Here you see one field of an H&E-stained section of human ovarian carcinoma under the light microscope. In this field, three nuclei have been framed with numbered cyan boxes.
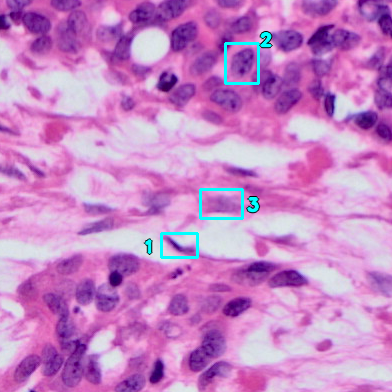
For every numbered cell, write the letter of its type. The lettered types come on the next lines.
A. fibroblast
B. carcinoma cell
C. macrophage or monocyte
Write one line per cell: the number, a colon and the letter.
1: A
2: C
3: A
